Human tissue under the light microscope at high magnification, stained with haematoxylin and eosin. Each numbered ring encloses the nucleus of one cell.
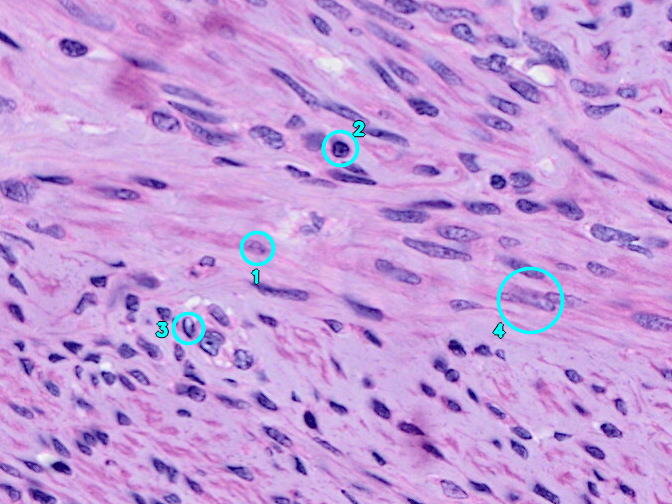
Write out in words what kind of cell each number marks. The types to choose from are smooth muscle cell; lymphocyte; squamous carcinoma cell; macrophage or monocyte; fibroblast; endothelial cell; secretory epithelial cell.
Cell 1 is a smooth muscle cell, cell 2 is a lymphocyte, cell 3 is a smooth muscle cell and cell 4 is a smooth muscle cell.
